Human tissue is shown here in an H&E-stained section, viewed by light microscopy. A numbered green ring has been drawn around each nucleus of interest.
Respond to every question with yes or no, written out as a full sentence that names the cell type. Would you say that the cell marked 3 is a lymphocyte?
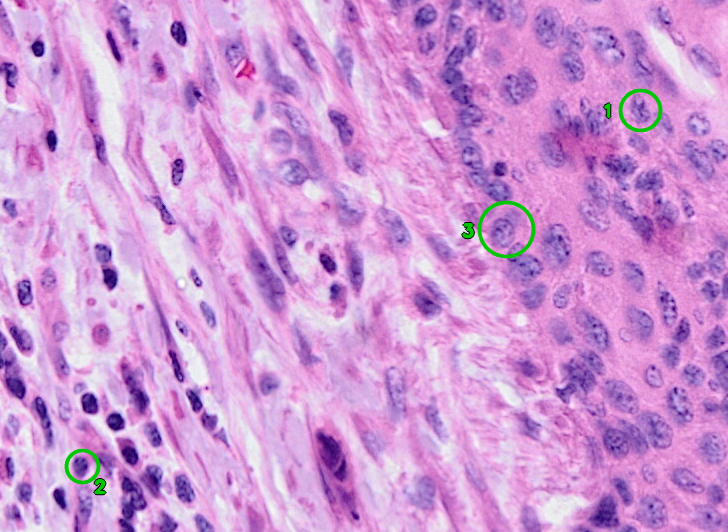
No, cell 3 represents a squamous carcinoma cell rather than a lymphocyte.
